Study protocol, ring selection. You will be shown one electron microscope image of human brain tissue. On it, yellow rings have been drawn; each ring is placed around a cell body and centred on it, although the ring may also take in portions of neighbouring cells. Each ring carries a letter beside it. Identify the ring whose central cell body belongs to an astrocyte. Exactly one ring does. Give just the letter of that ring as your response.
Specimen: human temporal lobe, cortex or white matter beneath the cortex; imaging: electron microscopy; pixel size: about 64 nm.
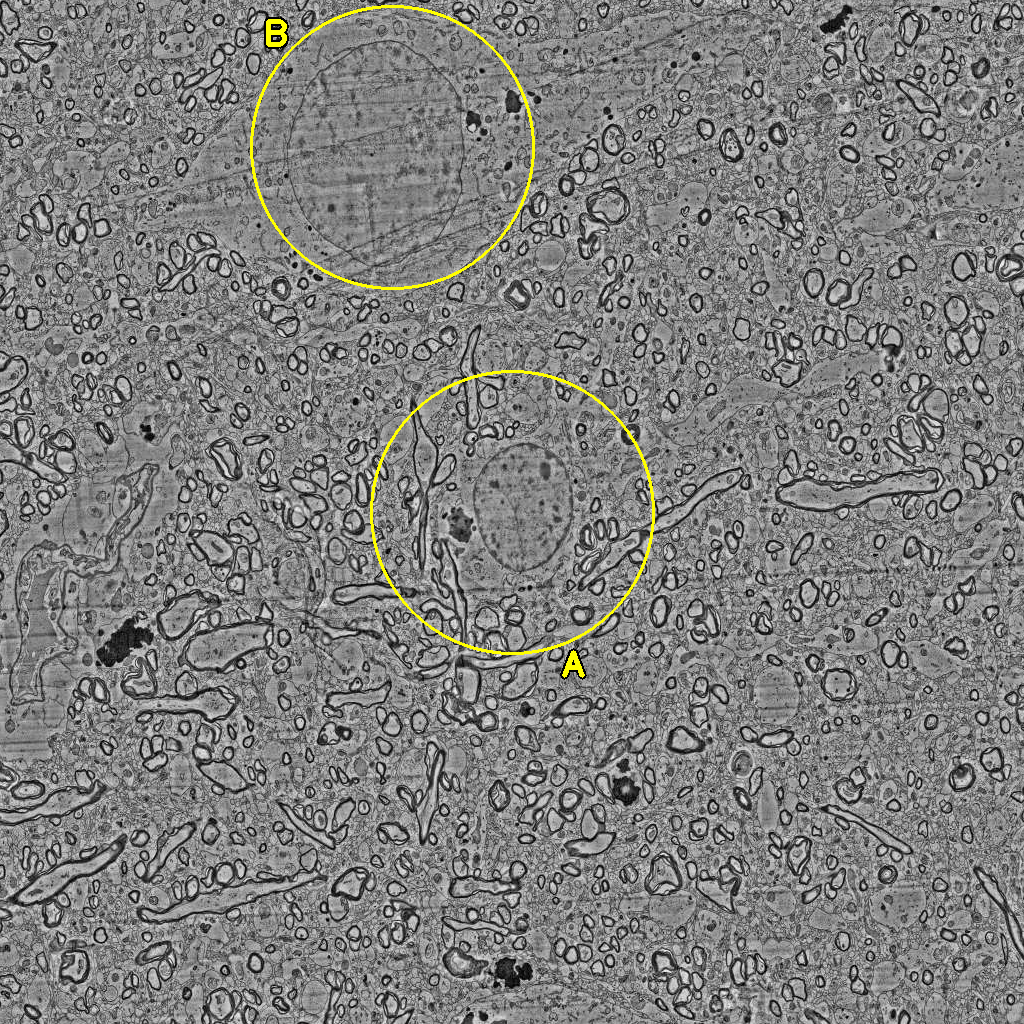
A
